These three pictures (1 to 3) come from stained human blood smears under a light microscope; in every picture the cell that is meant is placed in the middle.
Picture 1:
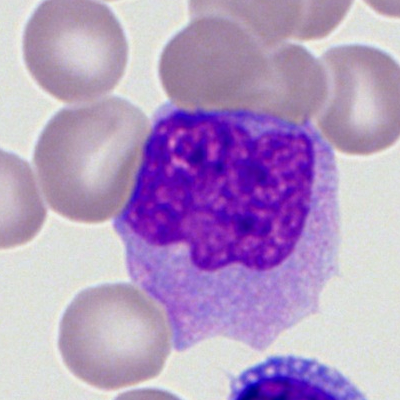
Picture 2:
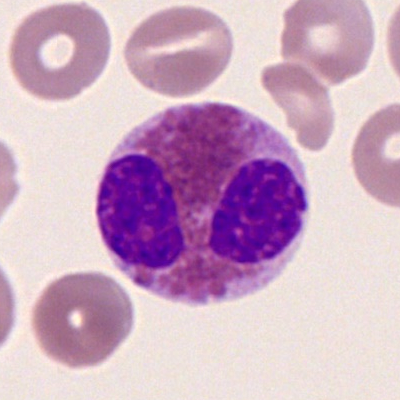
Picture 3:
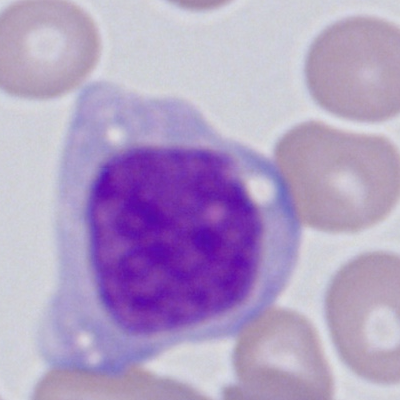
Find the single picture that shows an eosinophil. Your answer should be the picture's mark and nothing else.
2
